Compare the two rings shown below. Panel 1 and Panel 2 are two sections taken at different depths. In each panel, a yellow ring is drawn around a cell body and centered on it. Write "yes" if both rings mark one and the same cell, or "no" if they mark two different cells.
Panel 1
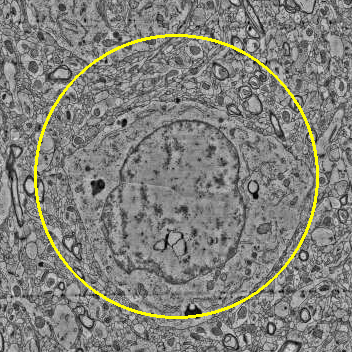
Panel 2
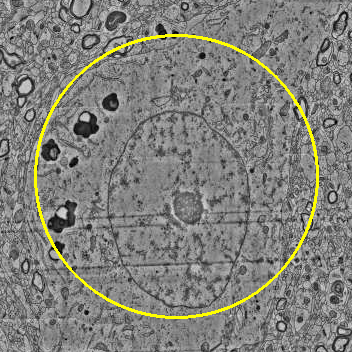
no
